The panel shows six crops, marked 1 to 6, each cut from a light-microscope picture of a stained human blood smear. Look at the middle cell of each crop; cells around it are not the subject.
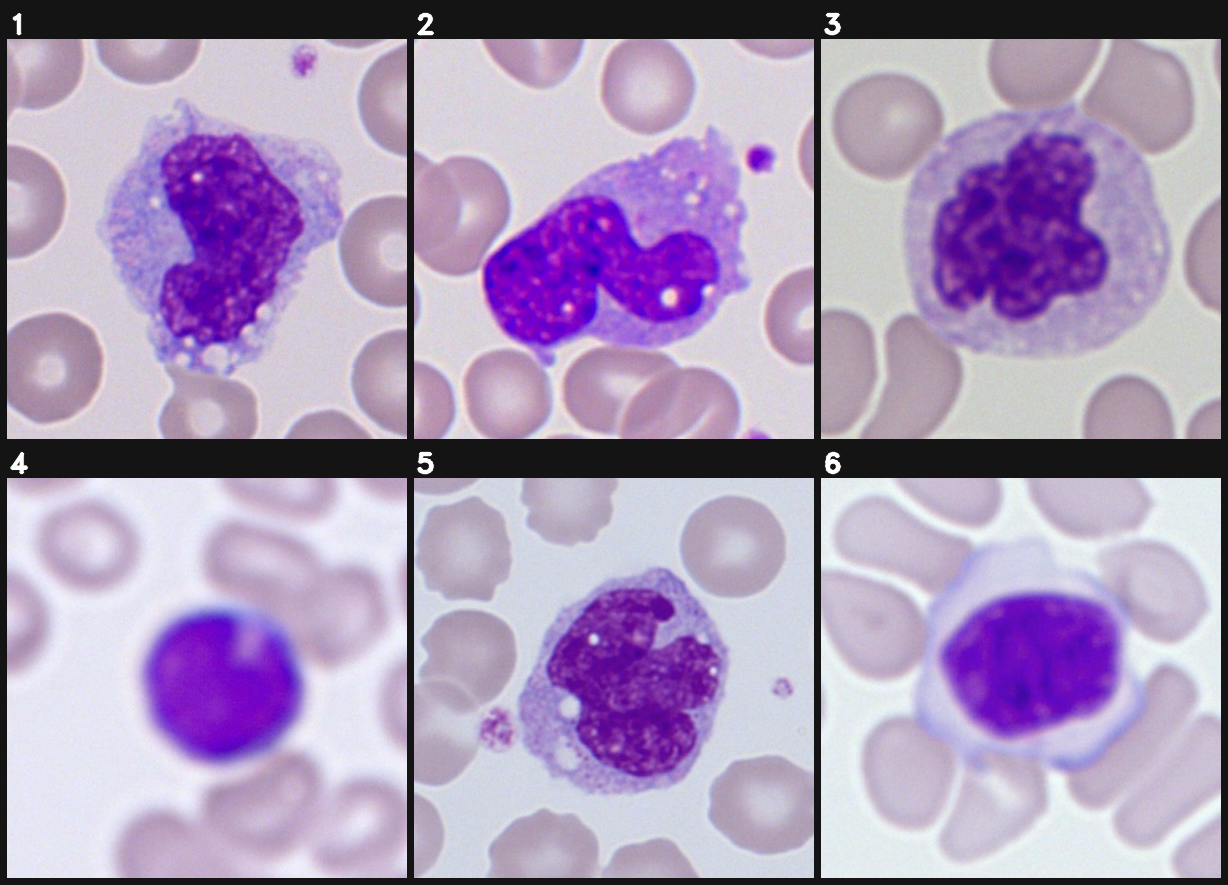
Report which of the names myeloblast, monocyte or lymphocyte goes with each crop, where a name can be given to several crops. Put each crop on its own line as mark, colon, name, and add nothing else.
1: monocyte
2: monocyte
3: monocyte
4: myeloblast
5: monocyte
6: lymphocyte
